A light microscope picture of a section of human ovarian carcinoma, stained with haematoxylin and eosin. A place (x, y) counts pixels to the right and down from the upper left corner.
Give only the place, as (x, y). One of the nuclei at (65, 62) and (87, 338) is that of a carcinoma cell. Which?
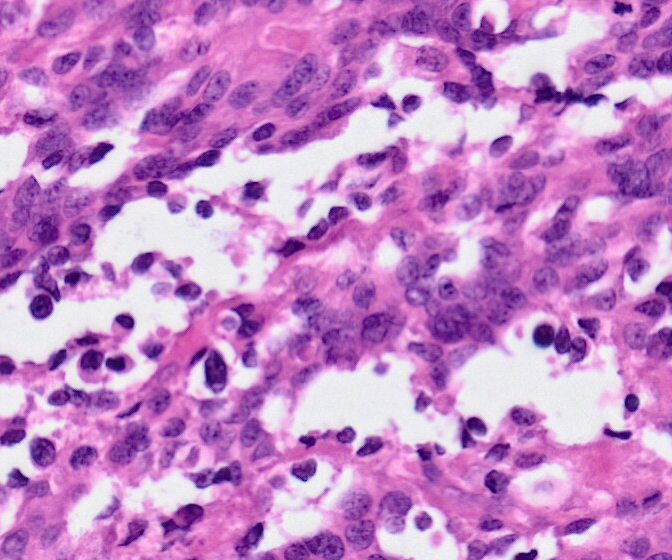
(87, 338)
